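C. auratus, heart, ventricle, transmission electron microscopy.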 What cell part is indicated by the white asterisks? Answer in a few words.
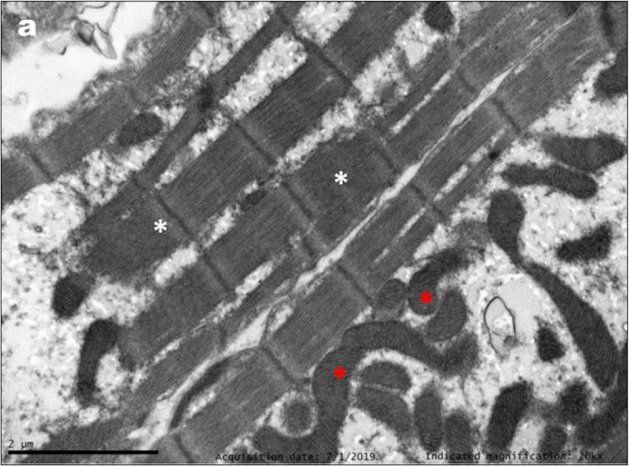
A: myofibrils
